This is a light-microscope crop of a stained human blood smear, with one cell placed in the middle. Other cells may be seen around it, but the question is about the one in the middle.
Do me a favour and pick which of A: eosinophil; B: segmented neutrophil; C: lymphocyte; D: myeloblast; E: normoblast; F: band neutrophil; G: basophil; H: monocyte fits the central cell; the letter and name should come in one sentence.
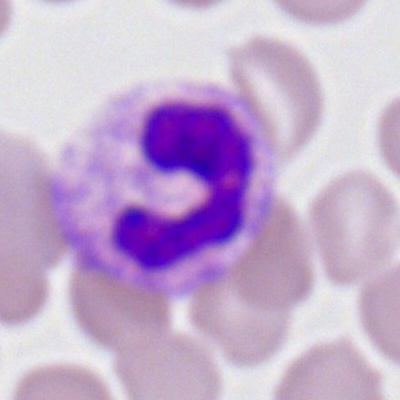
Well, the cell in the middle is a band neutrophil, making option F right.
